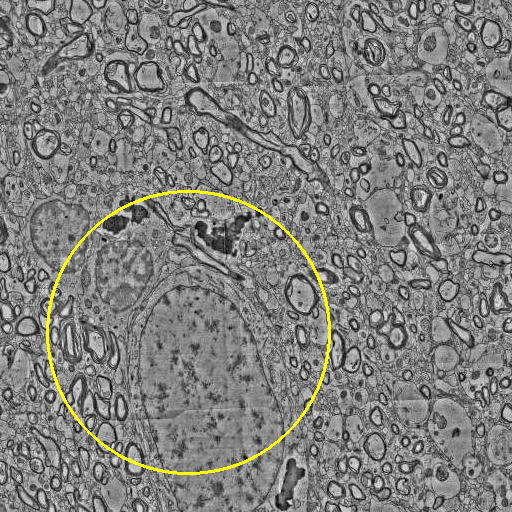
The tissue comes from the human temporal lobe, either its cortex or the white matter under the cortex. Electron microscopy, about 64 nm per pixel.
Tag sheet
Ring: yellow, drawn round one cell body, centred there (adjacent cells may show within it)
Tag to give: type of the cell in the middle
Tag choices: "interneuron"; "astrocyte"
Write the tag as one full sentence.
I tag the cell centred in the yellow ring as an interneuron in this picture.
